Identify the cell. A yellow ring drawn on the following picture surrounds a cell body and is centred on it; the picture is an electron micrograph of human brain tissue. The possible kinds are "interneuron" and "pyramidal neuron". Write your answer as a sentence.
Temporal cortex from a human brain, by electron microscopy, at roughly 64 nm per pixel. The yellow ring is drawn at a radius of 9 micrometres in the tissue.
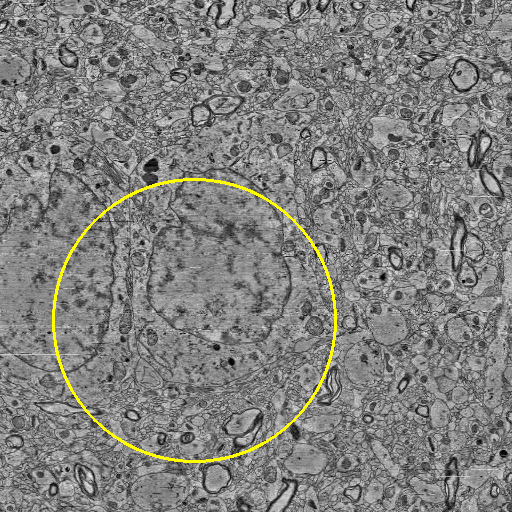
The cell identified by the ring is a pyramidal neuron.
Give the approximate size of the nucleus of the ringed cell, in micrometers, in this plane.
Roughly 12 by 10 micrometres is the size of the nucleus in this plane.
